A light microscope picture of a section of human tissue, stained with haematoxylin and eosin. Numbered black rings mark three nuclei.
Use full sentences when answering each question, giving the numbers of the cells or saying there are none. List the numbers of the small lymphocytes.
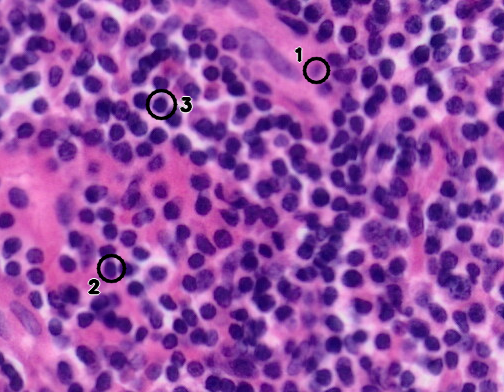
So, the cells with numbers 2 and 3 are small lymphocytes.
